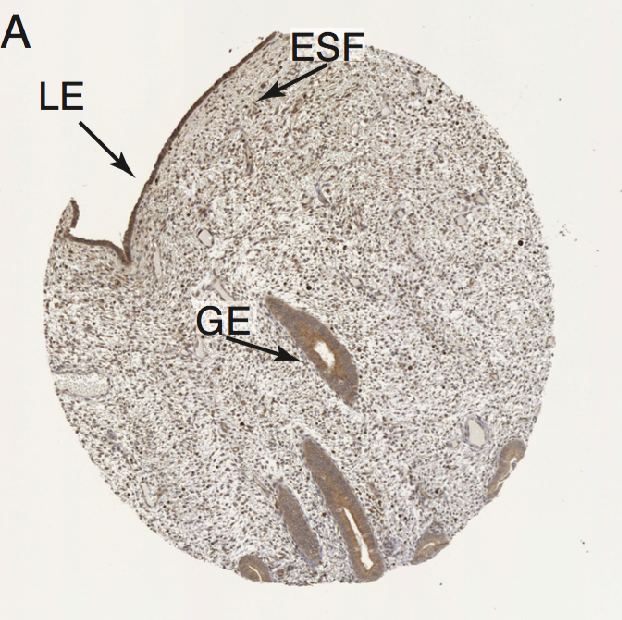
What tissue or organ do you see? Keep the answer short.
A: Endometrium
